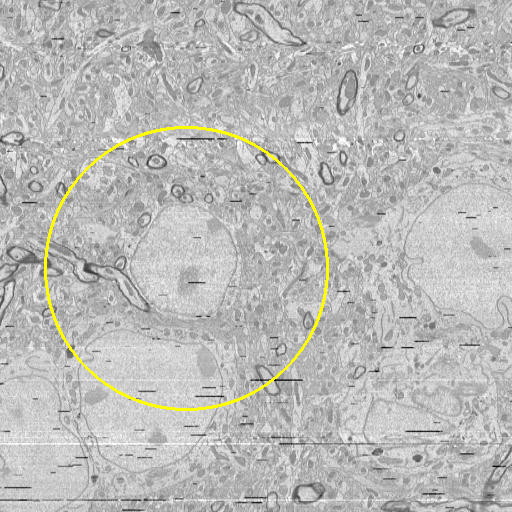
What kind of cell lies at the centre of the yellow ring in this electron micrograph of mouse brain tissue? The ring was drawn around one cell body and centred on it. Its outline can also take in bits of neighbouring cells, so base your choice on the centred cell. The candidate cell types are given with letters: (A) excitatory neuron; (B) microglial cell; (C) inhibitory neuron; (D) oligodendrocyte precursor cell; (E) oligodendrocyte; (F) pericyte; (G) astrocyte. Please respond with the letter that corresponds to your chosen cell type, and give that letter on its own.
G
